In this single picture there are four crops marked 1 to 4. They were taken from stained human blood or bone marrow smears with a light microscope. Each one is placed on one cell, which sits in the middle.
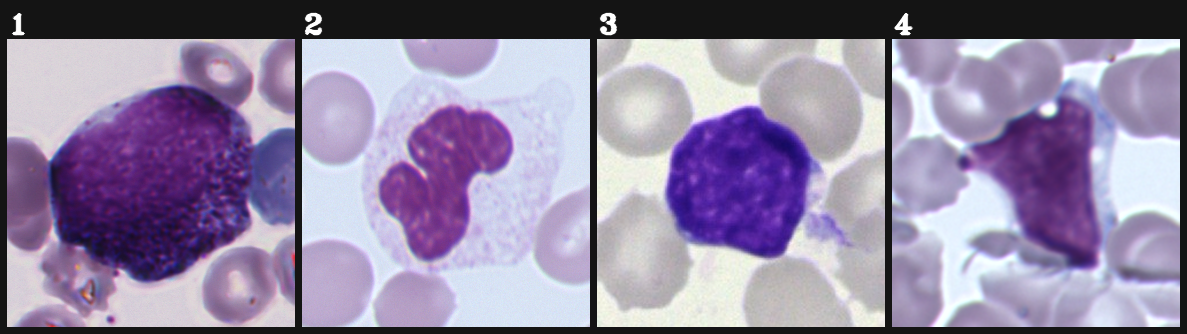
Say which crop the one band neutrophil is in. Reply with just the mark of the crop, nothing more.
2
